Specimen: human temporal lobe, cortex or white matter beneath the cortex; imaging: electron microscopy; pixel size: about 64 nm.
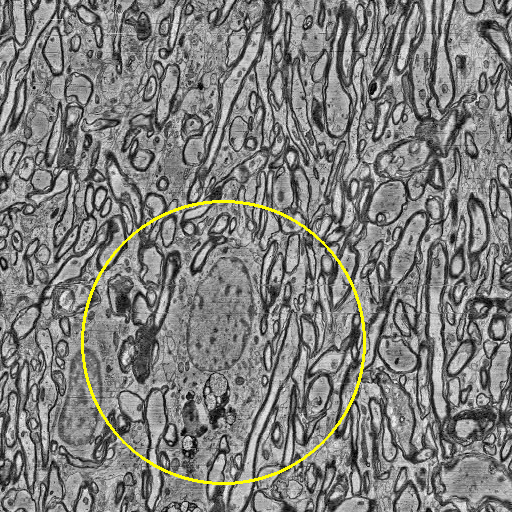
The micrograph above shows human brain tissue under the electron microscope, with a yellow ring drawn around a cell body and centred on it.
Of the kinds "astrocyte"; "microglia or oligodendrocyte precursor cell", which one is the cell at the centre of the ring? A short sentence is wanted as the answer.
The one at the centre of the ring is an astrocyte.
